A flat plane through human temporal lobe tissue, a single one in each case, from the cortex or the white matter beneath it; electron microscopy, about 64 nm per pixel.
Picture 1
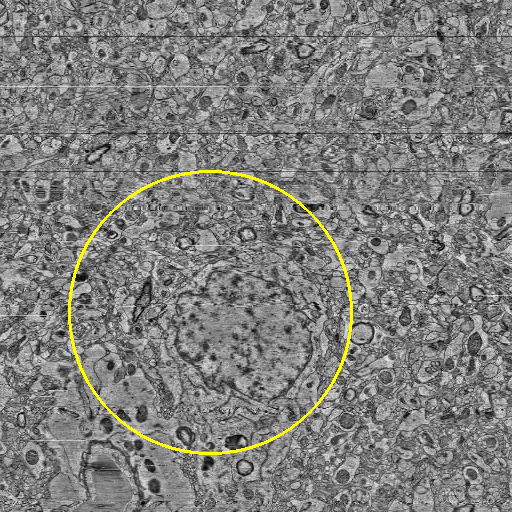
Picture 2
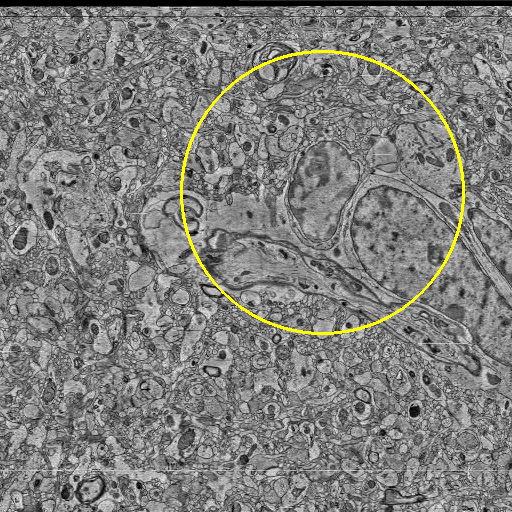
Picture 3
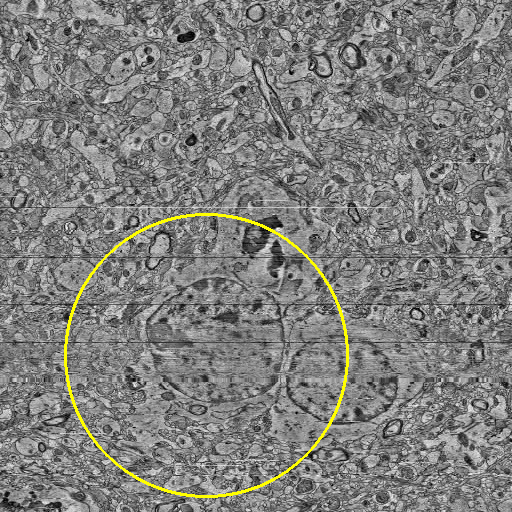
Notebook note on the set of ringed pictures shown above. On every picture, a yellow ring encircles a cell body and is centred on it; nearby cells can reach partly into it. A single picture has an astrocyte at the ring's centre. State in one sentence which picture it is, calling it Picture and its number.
Picture 3 is the one whose ring is centred on the sought cell.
